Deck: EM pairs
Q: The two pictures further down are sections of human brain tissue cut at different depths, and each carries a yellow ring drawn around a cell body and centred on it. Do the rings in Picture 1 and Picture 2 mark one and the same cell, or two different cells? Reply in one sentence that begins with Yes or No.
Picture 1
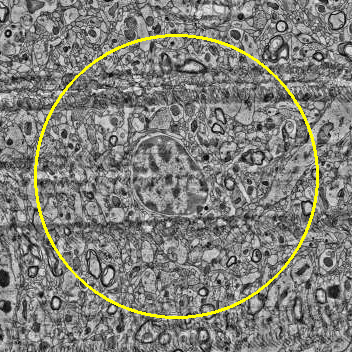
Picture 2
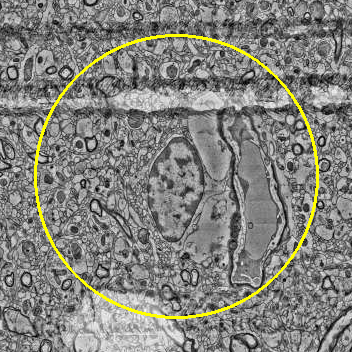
No, each ring encloses a different cell in the tissue.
